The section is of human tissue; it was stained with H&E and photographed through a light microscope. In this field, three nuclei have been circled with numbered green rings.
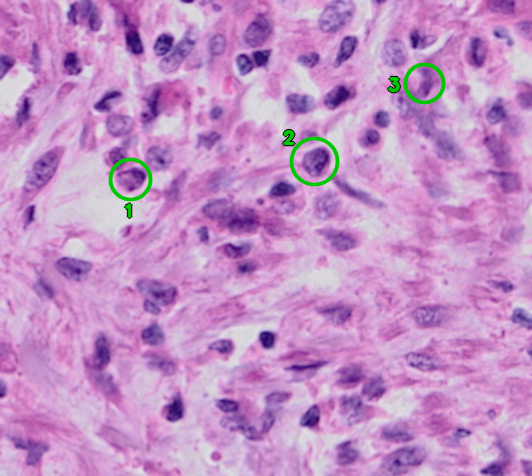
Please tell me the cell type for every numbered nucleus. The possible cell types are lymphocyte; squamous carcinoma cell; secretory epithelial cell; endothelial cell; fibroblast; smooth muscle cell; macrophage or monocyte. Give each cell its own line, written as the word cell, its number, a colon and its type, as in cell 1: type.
cell 1: macrophage or monocyte
cell 2: macrophage or monocyte
cell 3: fibroblast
